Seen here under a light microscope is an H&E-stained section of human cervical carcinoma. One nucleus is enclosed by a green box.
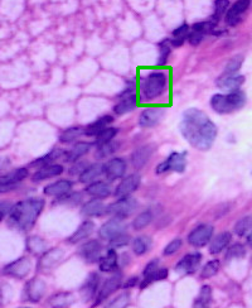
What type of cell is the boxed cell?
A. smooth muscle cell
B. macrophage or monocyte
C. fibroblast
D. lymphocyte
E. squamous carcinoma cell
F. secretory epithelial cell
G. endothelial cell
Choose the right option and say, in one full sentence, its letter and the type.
Option F describes the boxed cell accurately as a secretory epithelial cell.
